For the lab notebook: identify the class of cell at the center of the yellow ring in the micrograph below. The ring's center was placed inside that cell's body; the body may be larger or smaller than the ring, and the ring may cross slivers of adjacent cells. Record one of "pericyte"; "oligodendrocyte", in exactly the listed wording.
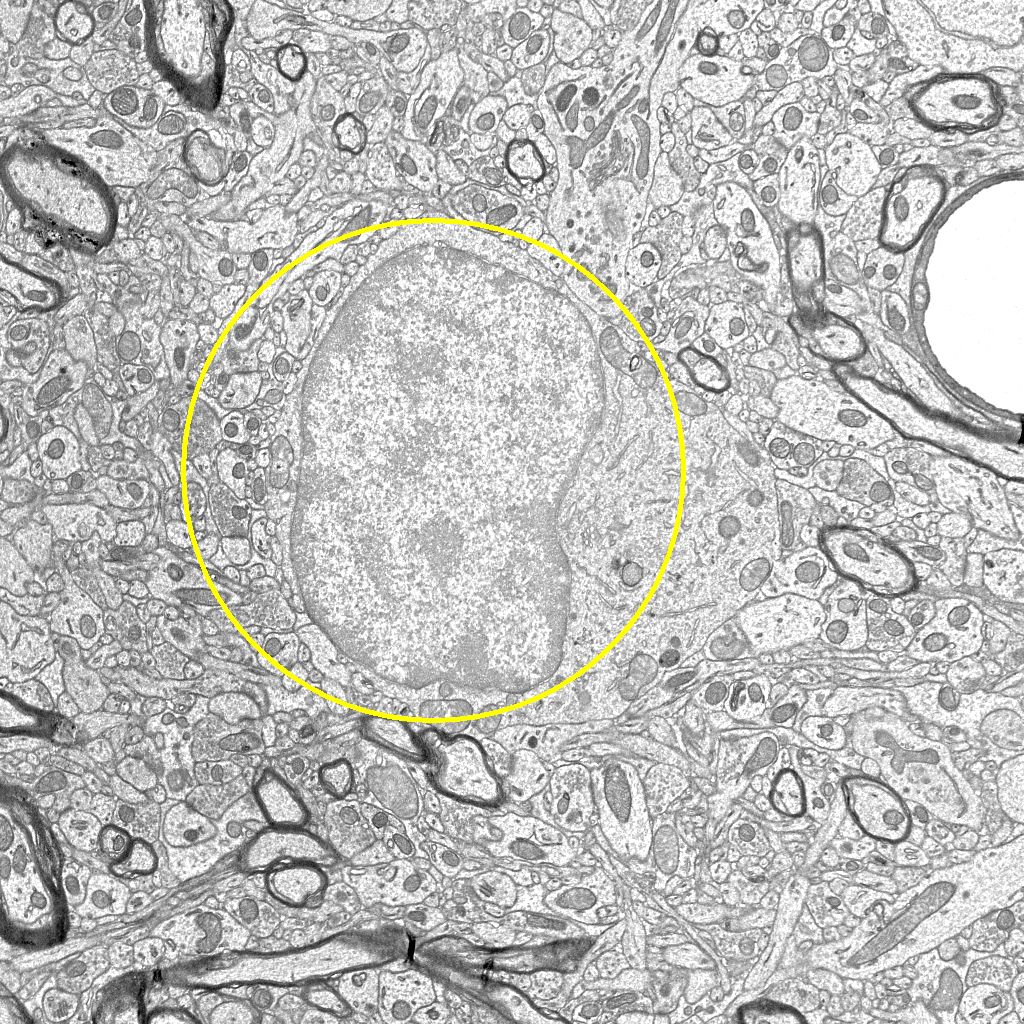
oligodendrocyte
